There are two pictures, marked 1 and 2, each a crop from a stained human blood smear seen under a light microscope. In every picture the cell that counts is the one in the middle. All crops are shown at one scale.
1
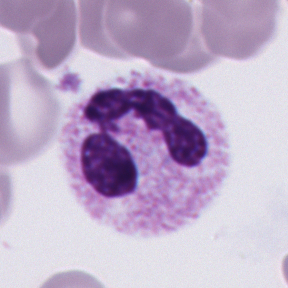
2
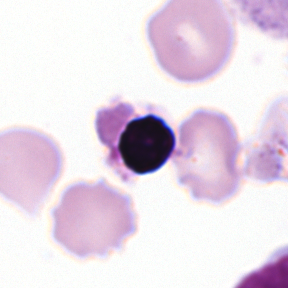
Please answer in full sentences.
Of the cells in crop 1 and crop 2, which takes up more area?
It is the cell in crop 1, about 4 times as large in area as the cell in crop 2.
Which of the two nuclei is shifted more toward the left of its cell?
In crop 1 the nucleus is shifted more toward the left.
